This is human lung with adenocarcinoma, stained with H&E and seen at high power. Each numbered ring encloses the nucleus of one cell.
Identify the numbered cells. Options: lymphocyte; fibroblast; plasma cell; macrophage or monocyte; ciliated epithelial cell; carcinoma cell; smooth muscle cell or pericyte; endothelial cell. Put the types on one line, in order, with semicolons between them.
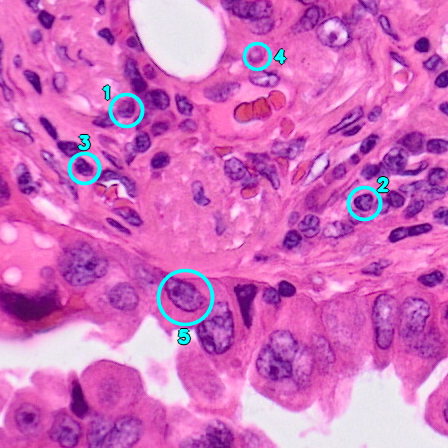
lymphocyte; lymphocyte; lymphocyte; macrophage or monocyte; carcinoma cell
